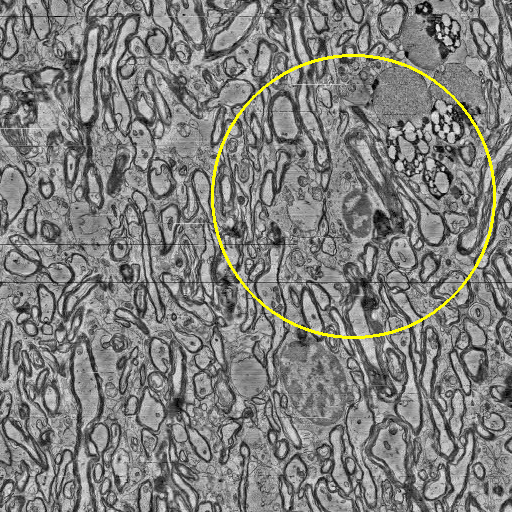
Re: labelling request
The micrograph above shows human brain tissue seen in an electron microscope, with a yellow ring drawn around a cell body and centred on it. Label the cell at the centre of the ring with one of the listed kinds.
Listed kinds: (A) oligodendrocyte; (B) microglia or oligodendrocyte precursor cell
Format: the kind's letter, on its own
B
